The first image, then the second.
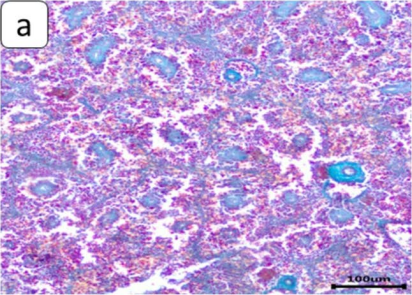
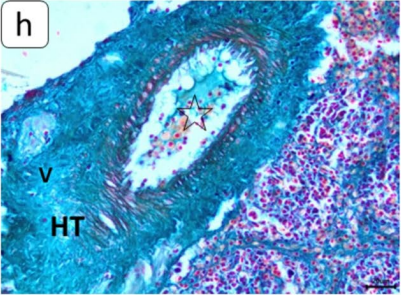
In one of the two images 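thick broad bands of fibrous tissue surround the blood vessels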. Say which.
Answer: the second image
